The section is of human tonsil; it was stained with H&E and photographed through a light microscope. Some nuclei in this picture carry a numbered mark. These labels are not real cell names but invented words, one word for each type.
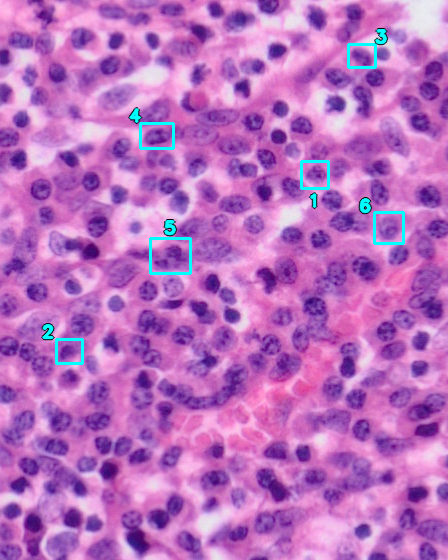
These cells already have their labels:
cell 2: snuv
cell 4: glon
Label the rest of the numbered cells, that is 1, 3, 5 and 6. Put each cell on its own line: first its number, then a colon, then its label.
1: glon
3: glon
5: snuv
6: glon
